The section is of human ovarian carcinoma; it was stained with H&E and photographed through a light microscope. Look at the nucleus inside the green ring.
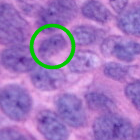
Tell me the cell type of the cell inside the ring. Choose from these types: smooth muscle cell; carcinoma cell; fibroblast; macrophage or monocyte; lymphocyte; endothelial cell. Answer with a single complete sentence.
The correct response here is that the cell inside the ring is a carcinoma cell.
